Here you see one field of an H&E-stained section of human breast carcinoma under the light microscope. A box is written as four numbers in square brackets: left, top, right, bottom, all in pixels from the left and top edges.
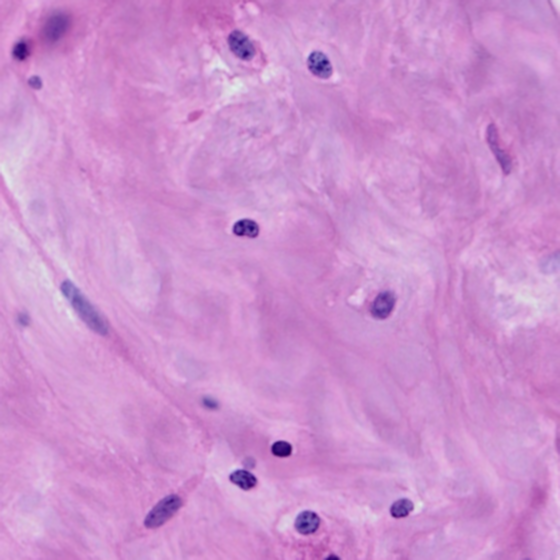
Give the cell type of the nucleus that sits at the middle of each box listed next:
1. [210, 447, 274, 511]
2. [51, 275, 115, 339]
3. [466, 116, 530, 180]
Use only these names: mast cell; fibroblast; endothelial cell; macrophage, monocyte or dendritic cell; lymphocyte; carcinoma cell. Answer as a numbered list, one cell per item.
1. lymphocyte
2. fibroblast
3. fibroblast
